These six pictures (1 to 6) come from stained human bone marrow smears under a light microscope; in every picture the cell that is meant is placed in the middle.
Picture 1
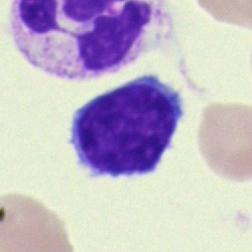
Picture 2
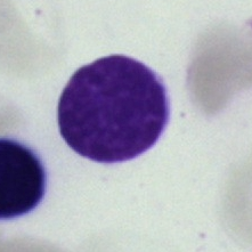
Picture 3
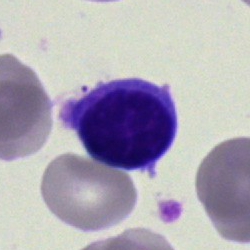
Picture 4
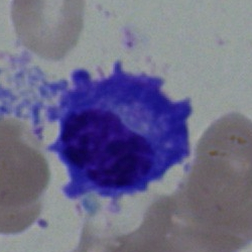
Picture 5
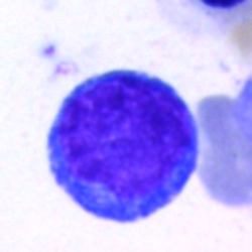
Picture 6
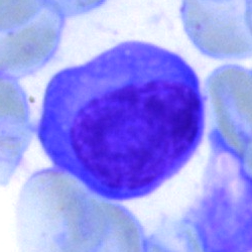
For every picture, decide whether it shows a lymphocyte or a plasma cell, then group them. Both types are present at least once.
1: lymphocyte
2: lymphocyte
3: lymphocyte
4: plasma cell
5: lymphocyte
6: plasma cell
